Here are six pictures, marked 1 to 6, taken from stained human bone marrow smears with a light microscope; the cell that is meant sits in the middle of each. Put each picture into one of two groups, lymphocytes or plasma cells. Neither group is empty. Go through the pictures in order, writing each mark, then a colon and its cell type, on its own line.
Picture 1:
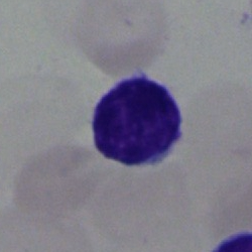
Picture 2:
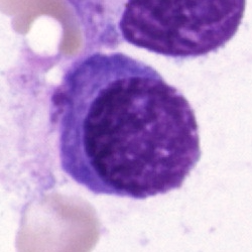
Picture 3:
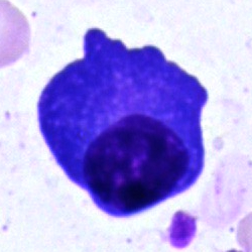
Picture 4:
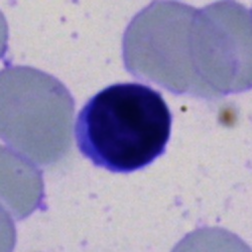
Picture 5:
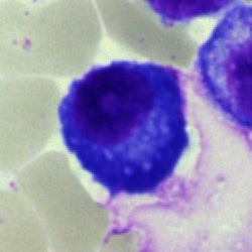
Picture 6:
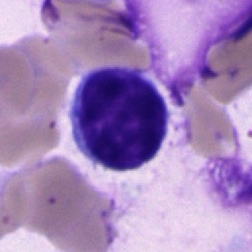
1: lymphocyte
2: plasma cell
3: plasma cell
4: lymphocyte
5: plasma cell
6: lymphocyte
